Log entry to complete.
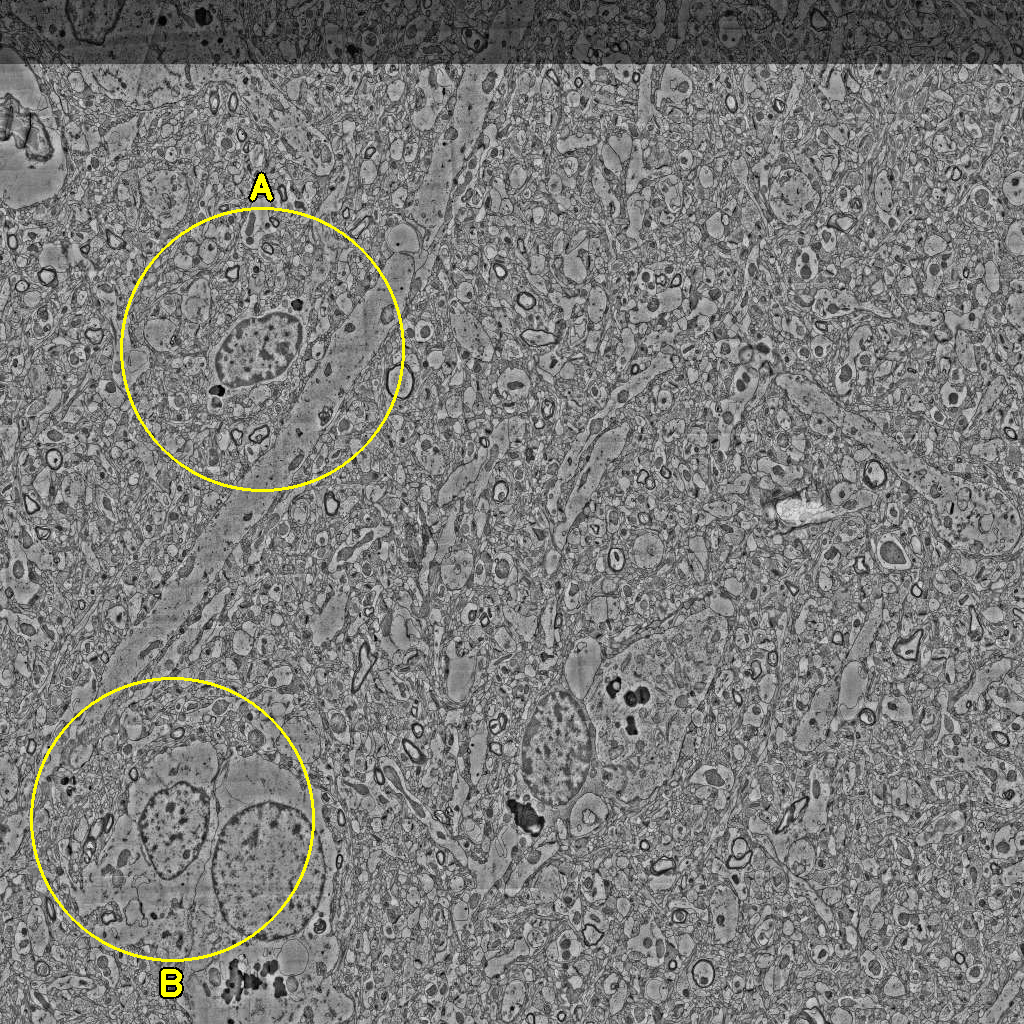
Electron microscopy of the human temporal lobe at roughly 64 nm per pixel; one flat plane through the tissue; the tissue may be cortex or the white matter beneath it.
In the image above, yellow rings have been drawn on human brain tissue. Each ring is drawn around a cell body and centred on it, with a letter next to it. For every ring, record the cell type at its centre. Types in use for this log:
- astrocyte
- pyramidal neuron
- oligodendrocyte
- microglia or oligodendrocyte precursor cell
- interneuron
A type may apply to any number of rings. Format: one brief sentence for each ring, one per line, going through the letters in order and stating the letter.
In ring A, the centred cell is a microglial cell or oligodendrocyte precursor cell.
In ring B, the centred cell is an astrocyte.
